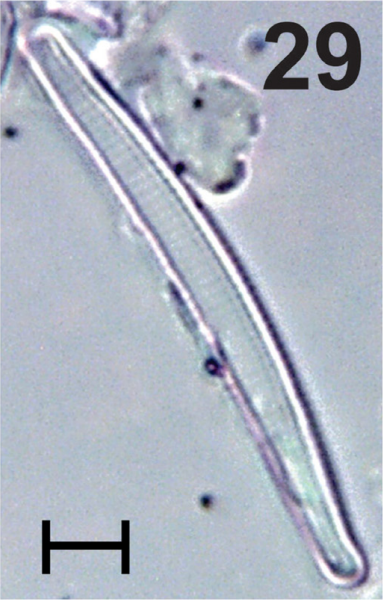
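Single elongate diatom valve of the genus Eunotia, gently arched along its length. One margin is more strongly curved than the other, and the valve narrows slightly toward rounded ends. The silica wall shows a thick, bright outline. Fine, closely spaced transverse striae cross the valve from margin to margin. Some debris adheres near one end.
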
